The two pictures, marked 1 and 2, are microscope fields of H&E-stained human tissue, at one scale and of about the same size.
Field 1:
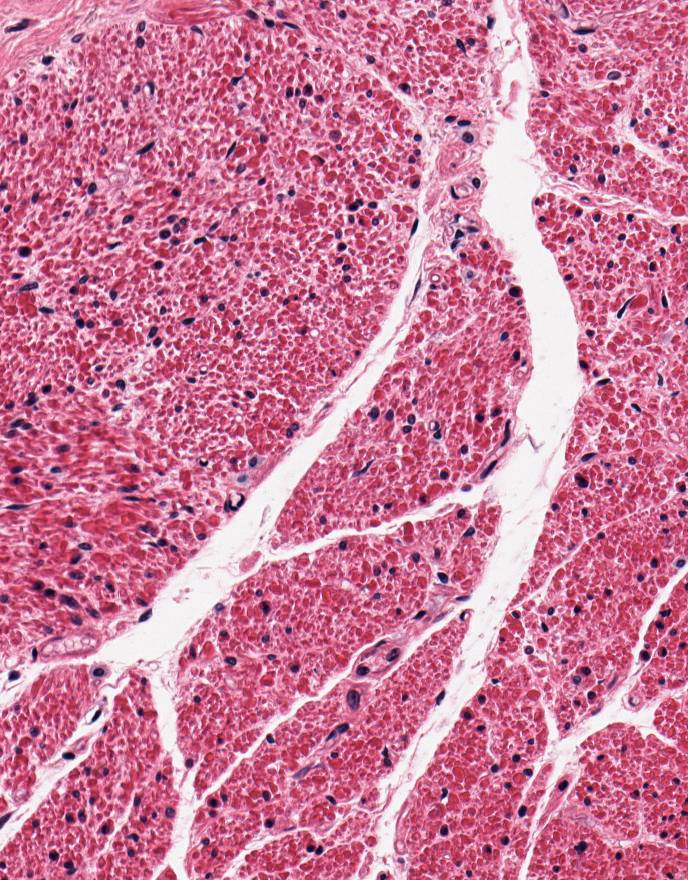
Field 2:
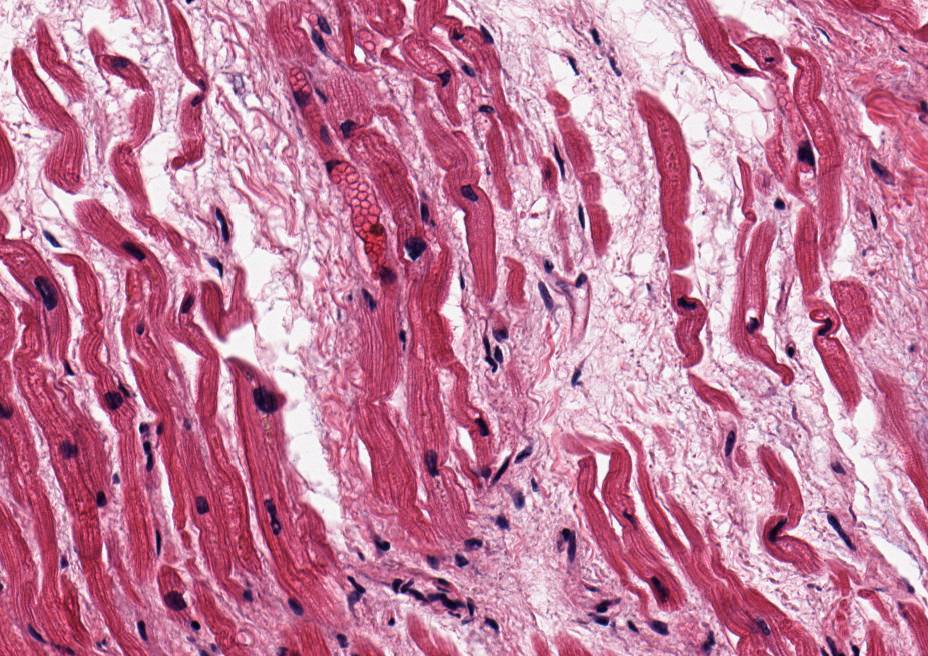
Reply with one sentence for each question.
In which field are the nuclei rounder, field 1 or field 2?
On the whole the nuclei of field 1 are rounder than those of field 2.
